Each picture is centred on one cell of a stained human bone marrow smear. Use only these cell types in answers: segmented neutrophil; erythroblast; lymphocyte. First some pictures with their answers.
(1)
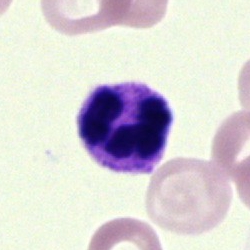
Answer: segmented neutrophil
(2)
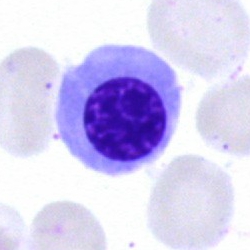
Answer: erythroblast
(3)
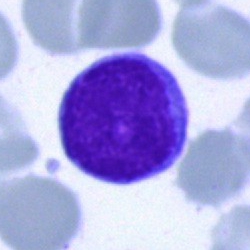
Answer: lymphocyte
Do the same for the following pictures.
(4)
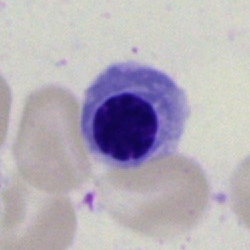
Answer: erythroblast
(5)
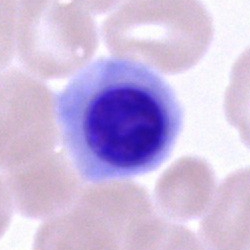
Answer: erythroblast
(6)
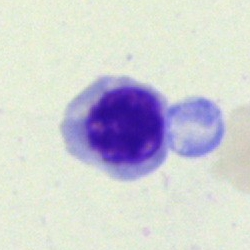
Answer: erythroblast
